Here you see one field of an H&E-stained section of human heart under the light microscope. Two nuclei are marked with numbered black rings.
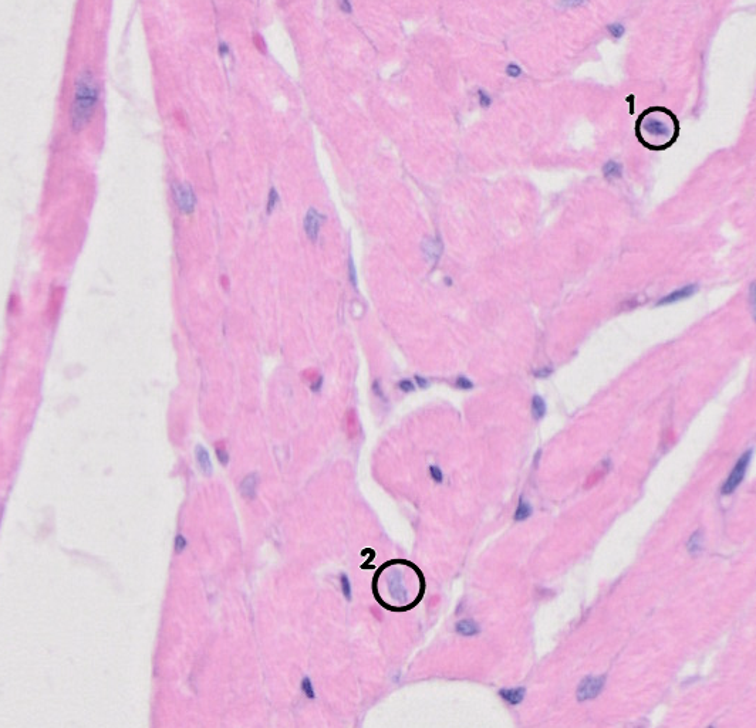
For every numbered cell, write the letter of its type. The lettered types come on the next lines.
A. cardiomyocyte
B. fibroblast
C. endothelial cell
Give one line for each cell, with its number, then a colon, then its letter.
1: C
2: A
